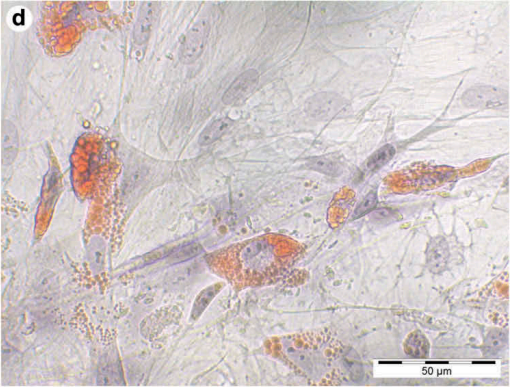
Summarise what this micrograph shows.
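Most of the field is taken by flat, elongated, unstained cells with pale blue-grey oval nuclei and long thin extensions. Only a few scattered cells hold orange-red droplets, and these droplets are mostly small and fine. The droplet-bearing cells are spindle-shaped or irregular rather than round.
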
